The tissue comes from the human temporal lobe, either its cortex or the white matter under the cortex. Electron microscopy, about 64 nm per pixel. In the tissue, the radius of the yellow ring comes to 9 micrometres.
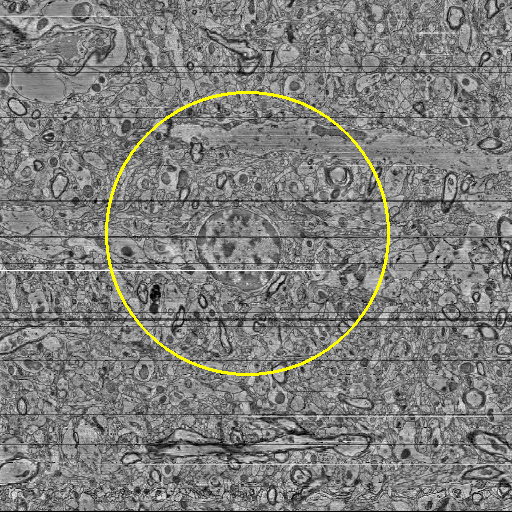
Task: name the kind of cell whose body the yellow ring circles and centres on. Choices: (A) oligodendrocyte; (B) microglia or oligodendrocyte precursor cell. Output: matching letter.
B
